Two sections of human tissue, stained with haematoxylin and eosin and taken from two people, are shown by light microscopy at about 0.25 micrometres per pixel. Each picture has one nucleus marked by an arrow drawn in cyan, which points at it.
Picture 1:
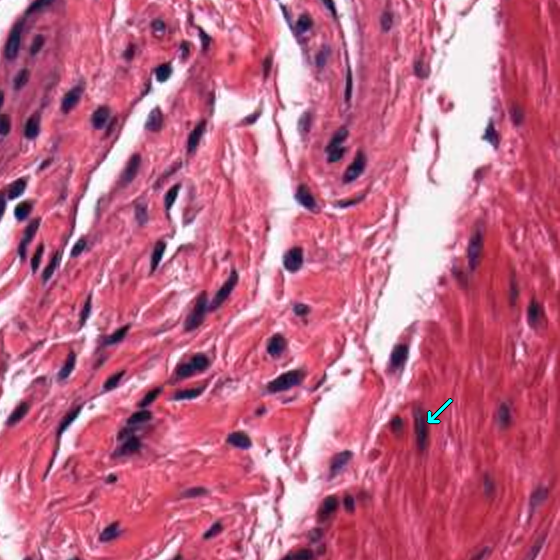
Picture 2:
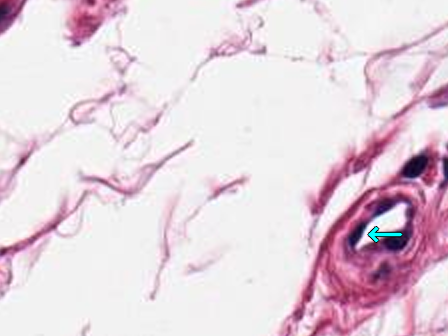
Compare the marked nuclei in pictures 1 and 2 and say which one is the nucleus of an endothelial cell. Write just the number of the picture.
2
